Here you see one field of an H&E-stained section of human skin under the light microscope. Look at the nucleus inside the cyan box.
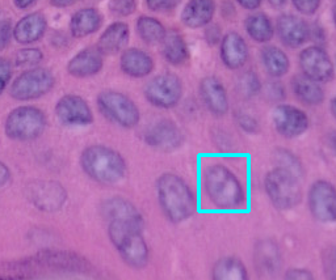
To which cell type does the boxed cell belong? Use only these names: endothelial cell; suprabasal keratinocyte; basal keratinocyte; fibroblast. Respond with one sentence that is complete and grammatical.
Among the cells in this section, the boxed cell is a suprabasal keratinocyte.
